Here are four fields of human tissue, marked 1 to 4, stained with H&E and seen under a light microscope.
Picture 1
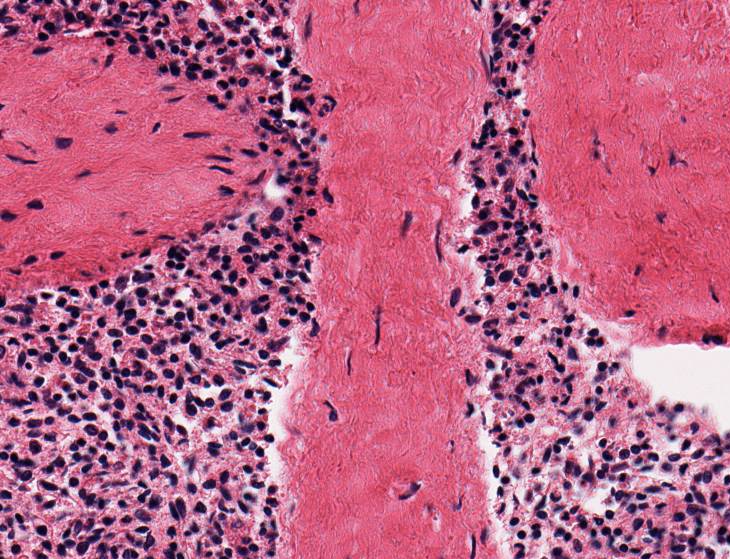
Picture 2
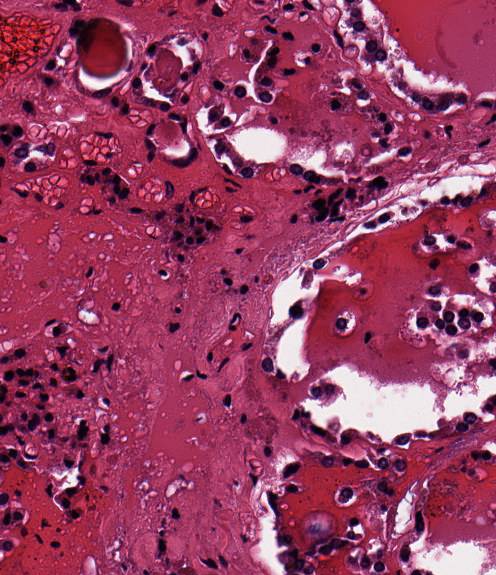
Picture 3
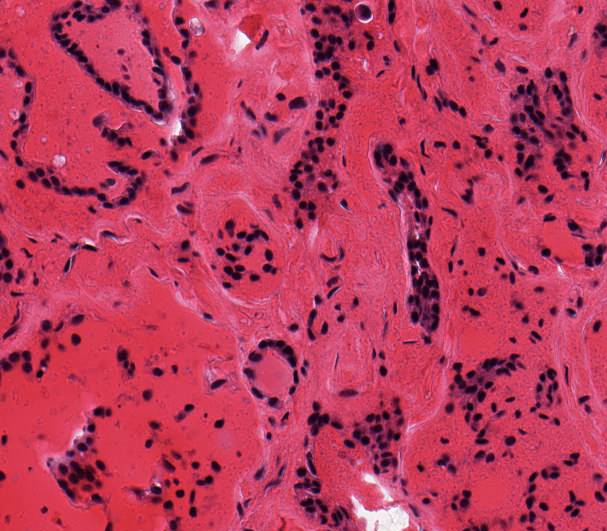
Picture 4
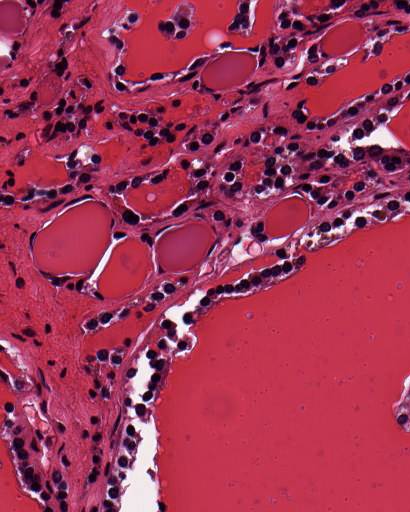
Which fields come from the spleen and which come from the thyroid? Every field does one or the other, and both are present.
1: spleen
2: thyroid
3: thyroid
4: thyroid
